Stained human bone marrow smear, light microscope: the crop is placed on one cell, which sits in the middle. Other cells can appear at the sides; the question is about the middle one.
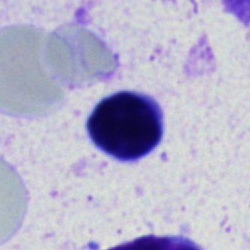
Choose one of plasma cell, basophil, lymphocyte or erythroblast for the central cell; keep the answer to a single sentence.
The identification for the central cell is a lymphocyte.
